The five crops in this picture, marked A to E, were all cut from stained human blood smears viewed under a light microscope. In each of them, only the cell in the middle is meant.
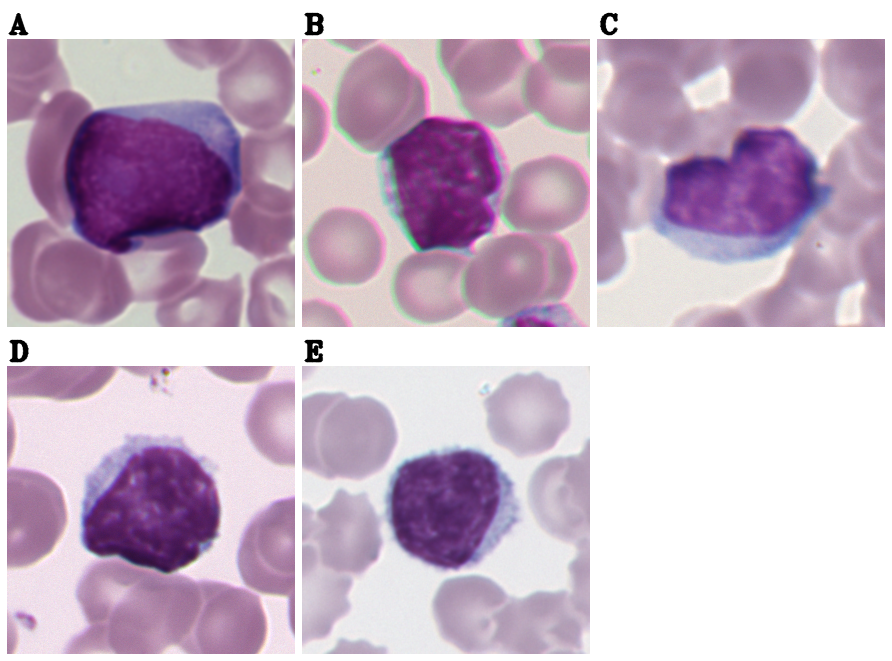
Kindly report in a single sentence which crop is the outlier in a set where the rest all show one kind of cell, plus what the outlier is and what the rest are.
Although the other crops all show typical lymphocytes, crop A shows a myeloblast.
